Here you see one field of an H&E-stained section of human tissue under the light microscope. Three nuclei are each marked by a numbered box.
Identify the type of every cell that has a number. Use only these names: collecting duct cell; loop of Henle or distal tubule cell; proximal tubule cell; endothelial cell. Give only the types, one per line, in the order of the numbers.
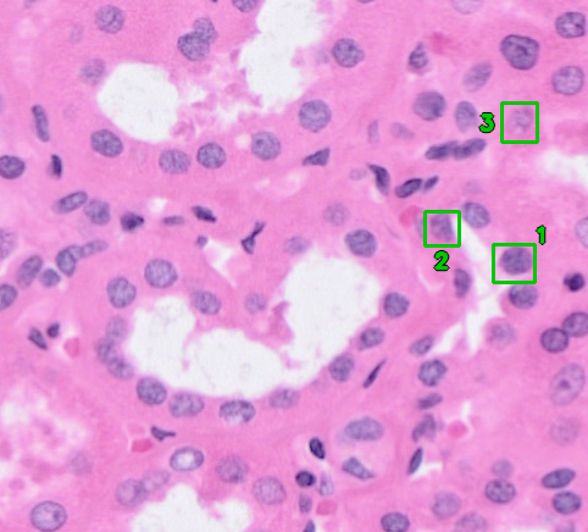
loop of Henle or distal tubule cell
loop of Henle or distal tubule cell
proximal tubule cell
